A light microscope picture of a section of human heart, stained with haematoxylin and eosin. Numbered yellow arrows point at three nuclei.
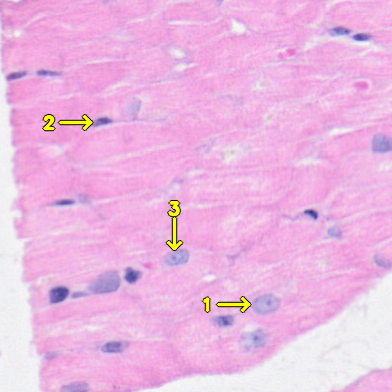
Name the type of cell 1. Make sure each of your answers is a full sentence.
Cell 1 in the field is a cardiomyocyte.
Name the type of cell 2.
The cell that is numbered 2 is an endothelial cell.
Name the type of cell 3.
The nucleus marked 3 is the nucleus of a cardiomyocyte.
